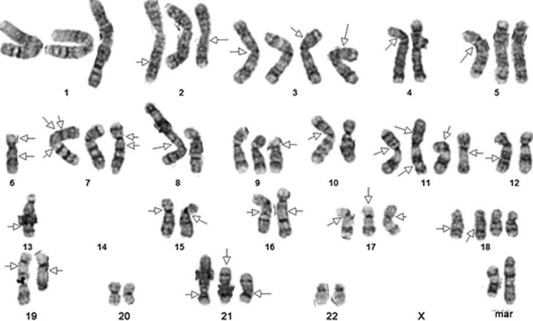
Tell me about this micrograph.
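Dark-and-light banded metaphase chromosomes are laid out in numbered groups, many groups holding three or more copies while some places stand empty and extra unplaced chromosomes sit at the end. Many chromosomes carry arrows at bands where their length or banding differs from their partners.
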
